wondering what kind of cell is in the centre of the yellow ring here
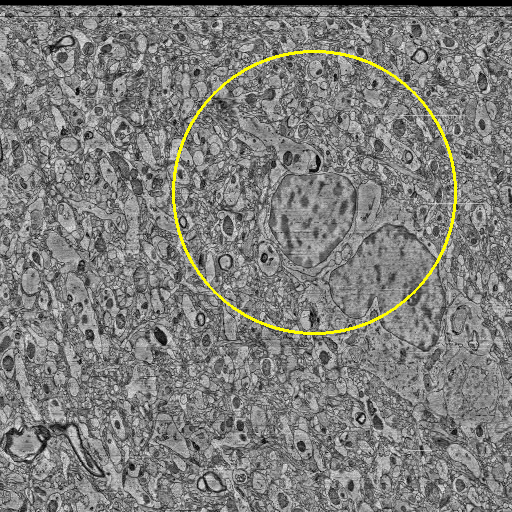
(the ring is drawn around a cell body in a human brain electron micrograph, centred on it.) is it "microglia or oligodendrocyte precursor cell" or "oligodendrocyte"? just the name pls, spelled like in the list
microglia or oligodendrocyte precursor cell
